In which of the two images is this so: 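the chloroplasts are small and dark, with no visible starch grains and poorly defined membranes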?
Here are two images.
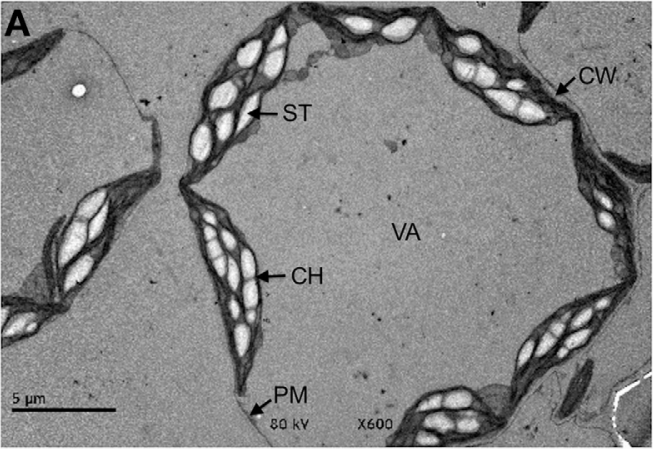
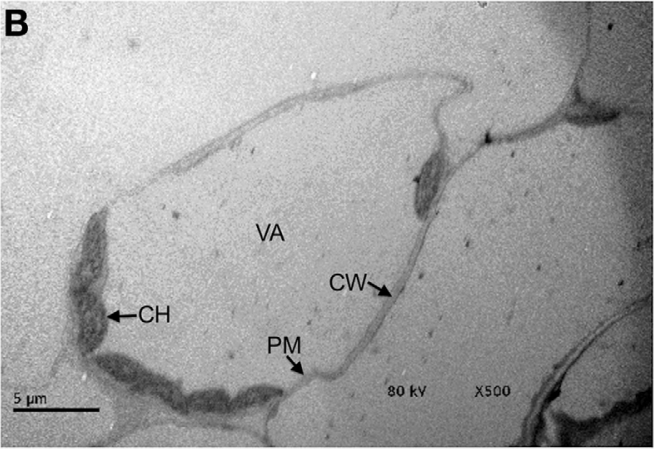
The second image.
